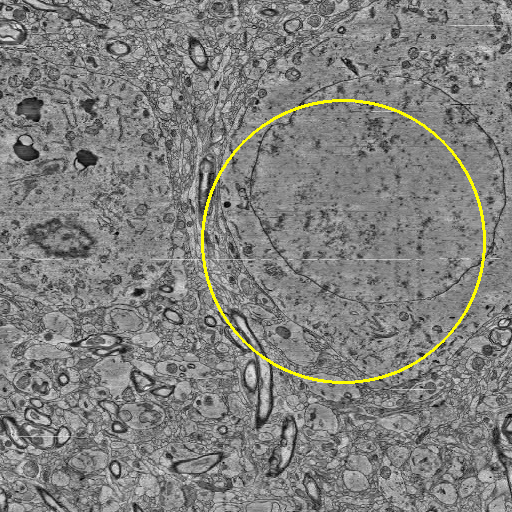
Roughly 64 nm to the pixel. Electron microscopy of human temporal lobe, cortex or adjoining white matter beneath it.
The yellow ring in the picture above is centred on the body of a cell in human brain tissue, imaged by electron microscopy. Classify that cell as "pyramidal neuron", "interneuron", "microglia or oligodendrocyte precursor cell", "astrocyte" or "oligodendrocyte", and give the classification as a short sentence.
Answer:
The cell in the middle of the ring is a pyramidal neuron.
